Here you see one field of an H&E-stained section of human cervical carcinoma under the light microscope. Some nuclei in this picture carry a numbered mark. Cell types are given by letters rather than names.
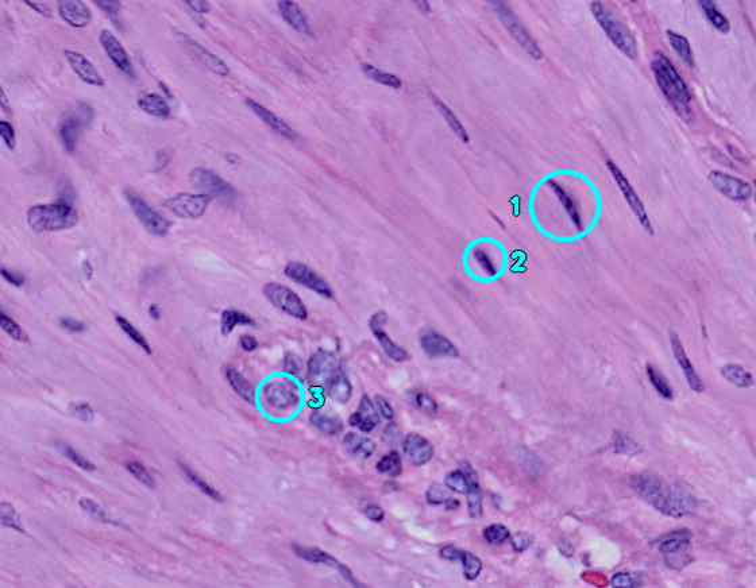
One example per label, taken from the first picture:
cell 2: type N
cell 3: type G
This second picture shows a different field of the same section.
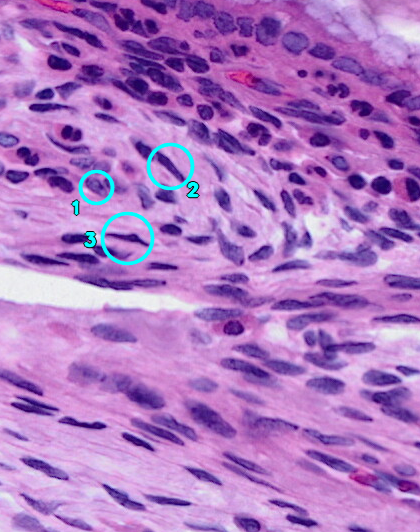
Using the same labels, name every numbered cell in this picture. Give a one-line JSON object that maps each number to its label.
{"1": "type G", "2": "type N", "3": "type N"}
